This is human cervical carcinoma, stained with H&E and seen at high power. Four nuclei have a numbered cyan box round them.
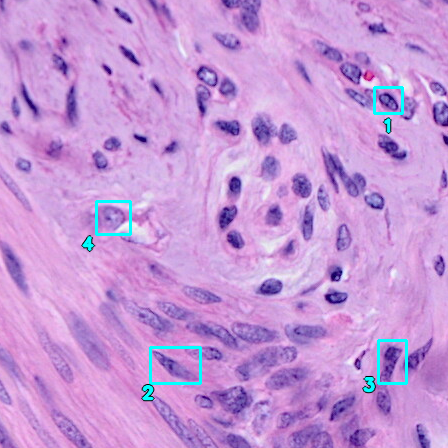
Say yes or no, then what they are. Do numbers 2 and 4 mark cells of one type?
No, the cell tagged 2 is a smooth muscle cell, whereas the cell tagged 4 is an endothelial cell.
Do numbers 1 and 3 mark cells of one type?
No, the cell at number 1 is an endothelial cell, and the cell at number 3 is a fibroblast.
